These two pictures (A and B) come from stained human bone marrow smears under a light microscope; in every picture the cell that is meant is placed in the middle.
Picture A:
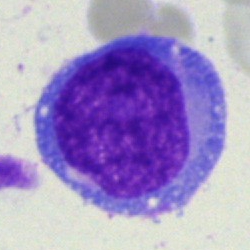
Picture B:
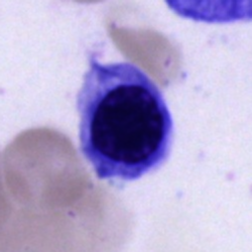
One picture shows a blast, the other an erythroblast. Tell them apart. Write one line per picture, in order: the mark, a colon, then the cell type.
A: blast
B: erythroblast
